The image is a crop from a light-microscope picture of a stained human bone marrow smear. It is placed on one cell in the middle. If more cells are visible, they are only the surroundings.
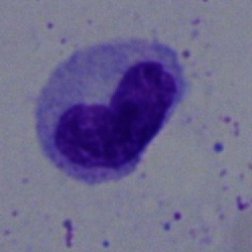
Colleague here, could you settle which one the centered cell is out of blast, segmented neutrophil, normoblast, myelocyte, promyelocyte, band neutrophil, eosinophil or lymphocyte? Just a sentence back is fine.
Looking at the middle of the crop, the cell there is a band neutrophil.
